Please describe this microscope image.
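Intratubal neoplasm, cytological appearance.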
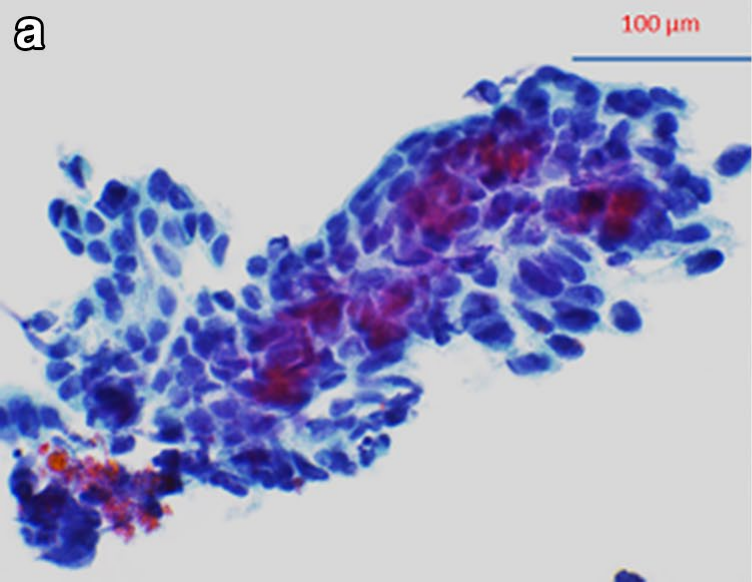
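A crowded, thick cluster of epithelial cells with oval dark-blue nuclei that overlap one another, some areas of the cluster tinged reddish-pink, and a few looser cells at the edges. The nuclei vary noticeably in size and the group has a three-dimensional, piled-up contour, features of a neoplastic epithelial fragment rather than a flat sheet of normal cells.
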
